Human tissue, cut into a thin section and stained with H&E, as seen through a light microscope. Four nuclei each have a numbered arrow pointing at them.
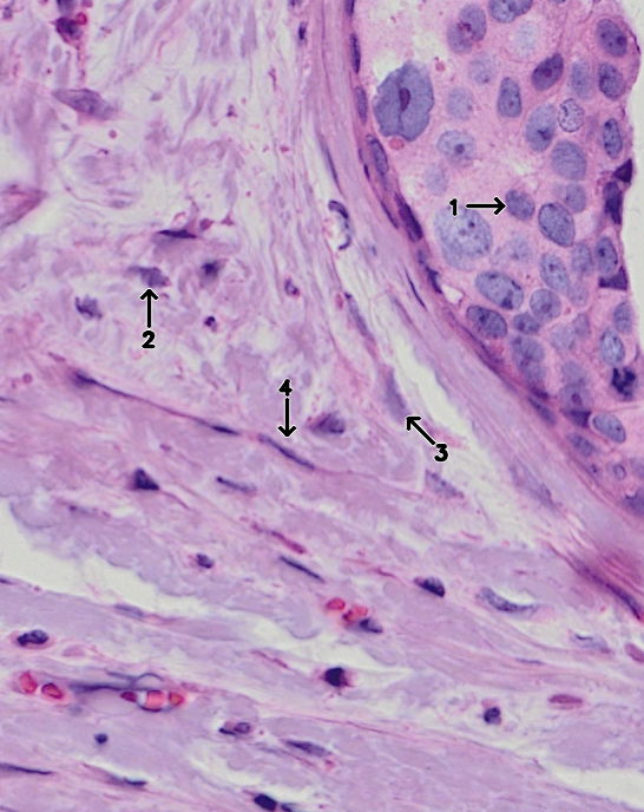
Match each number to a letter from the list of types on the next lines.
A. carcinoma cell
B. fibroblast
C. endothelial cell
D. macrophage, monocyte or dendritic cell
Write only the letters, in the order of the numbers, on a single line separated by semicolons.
A; B; B; B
